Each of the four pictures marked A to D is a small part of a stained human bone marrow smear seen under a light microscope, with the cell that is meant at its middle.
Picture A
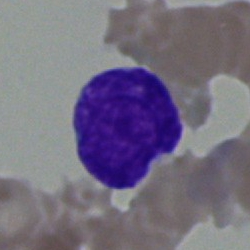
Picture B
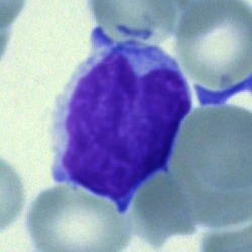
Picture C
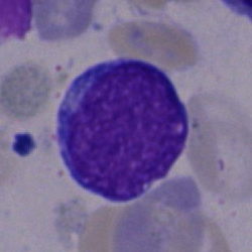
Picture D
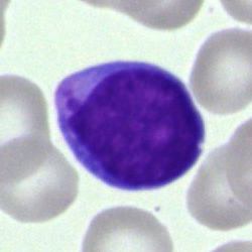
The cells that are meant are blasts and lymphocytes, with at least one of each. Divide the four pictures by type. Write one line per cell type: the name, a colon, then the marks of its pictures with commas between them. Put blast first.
blast: A, C
lymphocyte: B, D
